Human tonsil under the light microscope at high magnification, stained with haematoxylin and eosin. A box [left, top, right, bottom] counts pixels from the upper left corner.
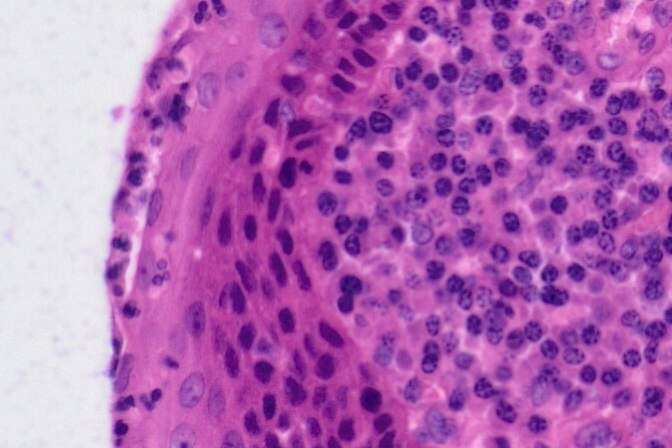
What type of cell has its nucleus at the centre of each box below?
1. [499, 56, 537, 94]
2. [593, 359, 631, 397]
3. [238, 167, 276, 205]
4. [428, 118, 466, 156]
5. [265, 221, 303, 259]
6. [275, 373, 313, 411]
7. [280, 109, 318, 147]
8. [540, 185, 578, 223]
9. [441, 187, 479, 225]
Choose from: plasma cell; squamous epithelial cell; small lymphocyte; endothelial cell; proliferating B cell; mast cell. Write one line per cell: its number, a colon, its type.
1: plasma cell
2: plasma cell
3: squamous epithelial cell
4: plasma cell
5: squamous epithelial cell
6: squamous epithelial cell
7: squamous epithelial cell
8: plasma cell
9: plasma cell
